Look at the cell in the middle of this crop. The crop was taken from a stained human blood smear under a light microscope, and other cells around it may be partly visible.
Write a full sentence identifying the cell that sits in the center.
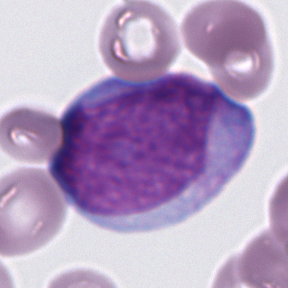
Centrally within this crop lies an atypical promyelocyte.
